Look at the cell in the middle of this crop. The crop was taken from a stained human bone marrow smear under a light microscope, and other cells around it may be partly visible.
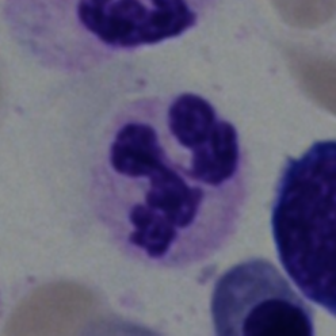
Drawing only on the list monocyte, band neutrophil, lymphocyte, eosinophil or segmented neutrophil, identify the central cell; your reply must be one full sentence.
The middle position in this crop is taken by a segmented neutrophil.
